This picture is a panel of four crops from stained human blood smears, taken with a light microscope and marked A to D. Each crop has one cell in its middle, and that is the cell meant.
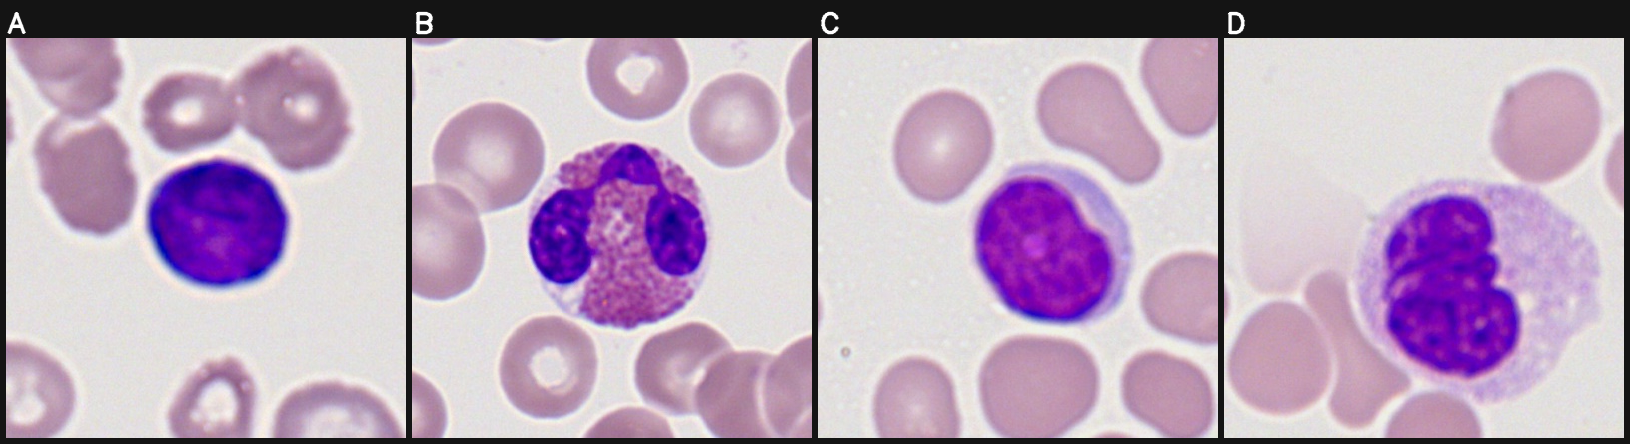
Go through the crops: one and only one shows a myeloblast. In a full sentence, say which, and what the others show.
The cell in crop A is a myeloblast, while crop B is an eosinophil, crop C is a lymphocyte and crop D is a monocyte.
